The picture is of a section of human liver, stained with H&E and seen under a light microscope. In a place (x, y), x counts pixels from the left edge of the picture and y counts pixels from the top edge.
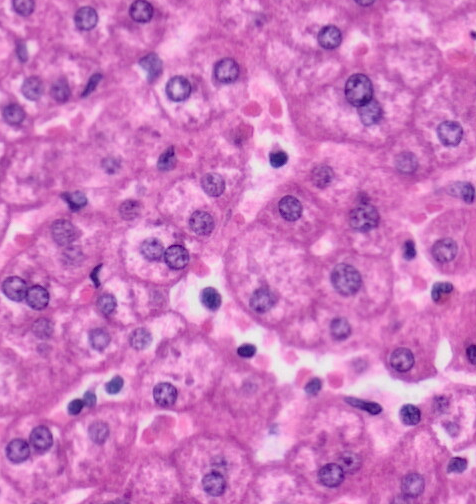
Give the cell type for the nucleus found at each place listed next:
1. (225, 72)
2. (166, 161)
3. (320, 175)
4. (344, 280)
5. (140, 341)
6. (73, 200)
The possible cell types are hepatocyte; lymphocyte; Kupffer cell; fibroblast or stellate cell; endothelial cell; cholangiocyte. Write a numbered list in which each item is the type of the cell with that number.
1. hepatocyte
2. endothelial cell
3. hepatocyte
4. hepatocyte
5. hepatocyte
6. endothelial cell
